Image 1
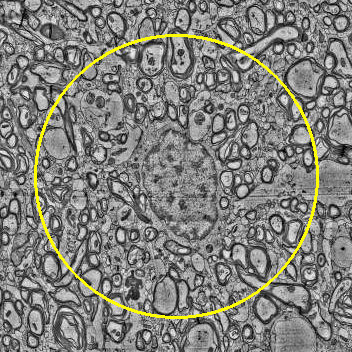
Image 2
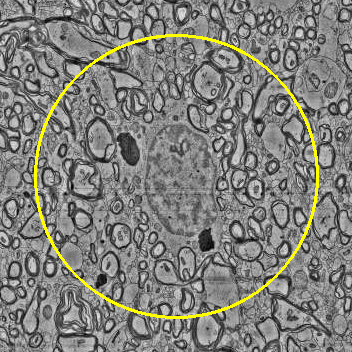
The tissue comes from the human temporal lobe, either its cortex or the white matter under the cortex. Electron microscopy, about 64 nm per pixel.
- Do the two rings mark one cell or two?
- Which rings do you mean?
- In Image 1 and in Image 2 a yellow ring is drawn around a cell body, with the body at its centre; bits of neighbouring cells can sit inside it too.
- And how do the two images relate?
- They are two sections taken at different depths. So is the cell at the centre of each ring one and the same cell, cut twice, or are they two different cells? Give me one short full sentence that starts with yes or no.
Yes, one cell accounts for both of the yellow rings.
